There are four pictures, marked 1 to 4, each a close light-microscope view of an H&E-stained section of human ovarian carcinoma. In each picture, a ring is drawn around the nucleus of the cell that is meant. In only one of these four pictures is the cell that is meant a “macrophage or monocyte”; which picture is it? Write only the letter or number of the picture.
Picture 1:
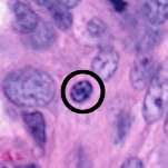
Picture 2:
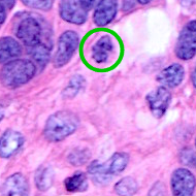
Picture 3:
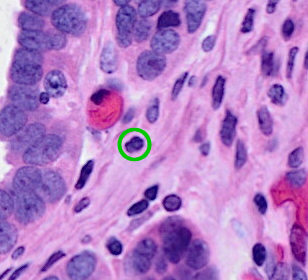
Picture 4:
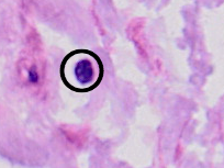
2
